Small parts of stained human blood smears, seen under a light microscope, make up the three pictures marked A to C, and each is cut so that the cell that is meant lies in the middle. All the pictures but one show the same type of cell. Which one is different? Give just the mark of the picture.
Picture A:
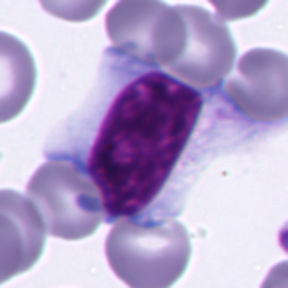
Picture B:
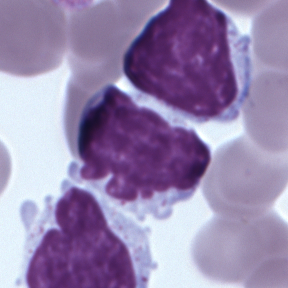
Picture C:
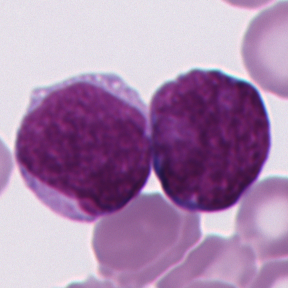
C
